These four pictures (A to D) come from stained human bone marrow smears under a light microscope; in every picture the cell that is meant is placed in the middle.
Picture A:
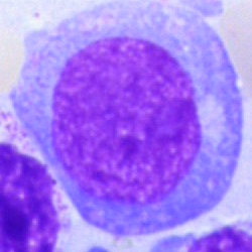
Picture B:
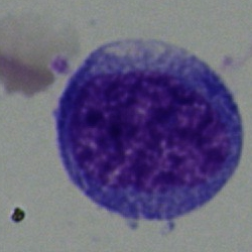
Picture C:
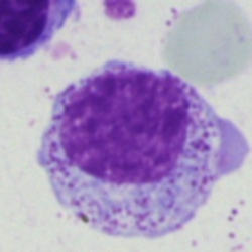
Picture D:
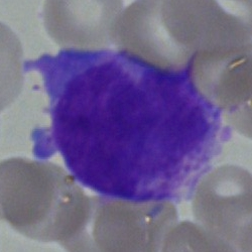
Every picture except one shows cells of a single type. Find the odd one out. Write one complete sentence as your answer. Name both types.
Unlike the rest, which show blasts, picture C shows a myelocyte.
